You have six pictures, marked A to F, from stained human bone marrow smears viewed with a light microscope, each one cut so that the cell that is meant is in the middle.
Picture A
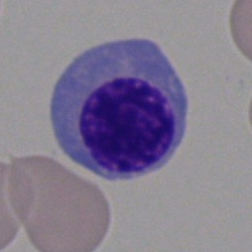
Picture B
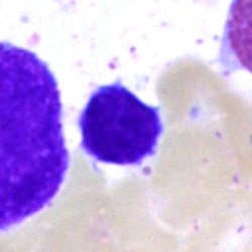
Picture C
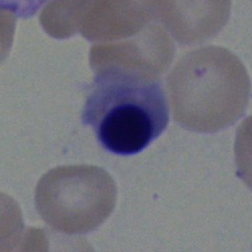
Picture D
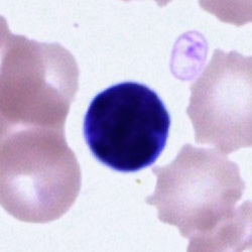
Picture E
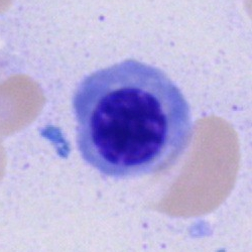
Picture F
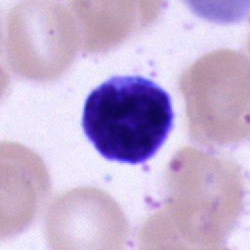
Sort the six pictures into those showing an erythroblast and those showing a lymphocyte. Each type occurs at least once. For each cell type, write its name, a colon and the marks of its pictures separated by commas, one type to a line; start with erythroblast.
erythroblast: A, C, E
lymphocyte: B, D, F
